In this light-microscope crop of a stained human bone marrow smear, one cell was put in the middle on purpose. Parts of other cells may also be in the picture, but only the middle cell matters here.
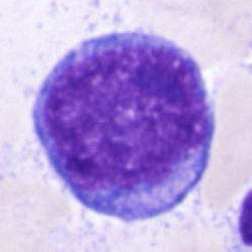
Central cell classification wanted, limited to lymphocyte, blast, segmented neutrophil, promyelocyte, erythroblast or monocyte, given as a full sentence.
In the middle of this smear crop, the cell is a blast.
